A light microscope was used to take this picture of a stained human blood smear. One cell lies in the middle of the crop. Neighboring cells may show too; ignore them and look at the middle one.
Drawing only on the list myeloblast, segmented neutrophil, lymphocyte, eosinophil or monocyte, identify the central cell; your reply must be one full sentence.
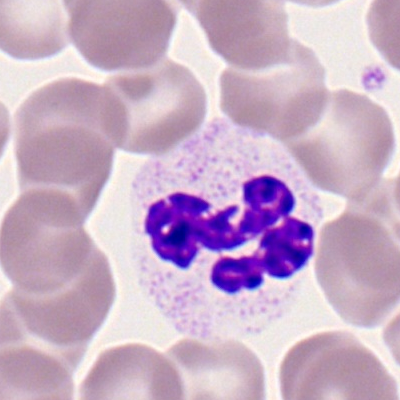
As for the central cell, it is a segmented neutrophil.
